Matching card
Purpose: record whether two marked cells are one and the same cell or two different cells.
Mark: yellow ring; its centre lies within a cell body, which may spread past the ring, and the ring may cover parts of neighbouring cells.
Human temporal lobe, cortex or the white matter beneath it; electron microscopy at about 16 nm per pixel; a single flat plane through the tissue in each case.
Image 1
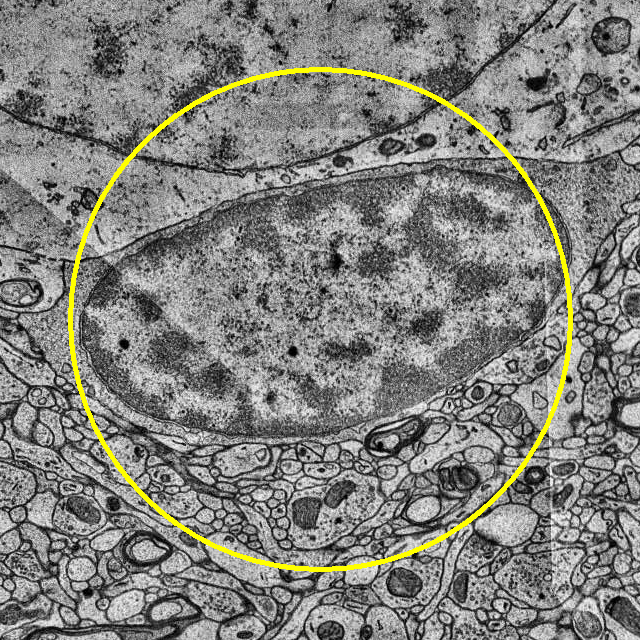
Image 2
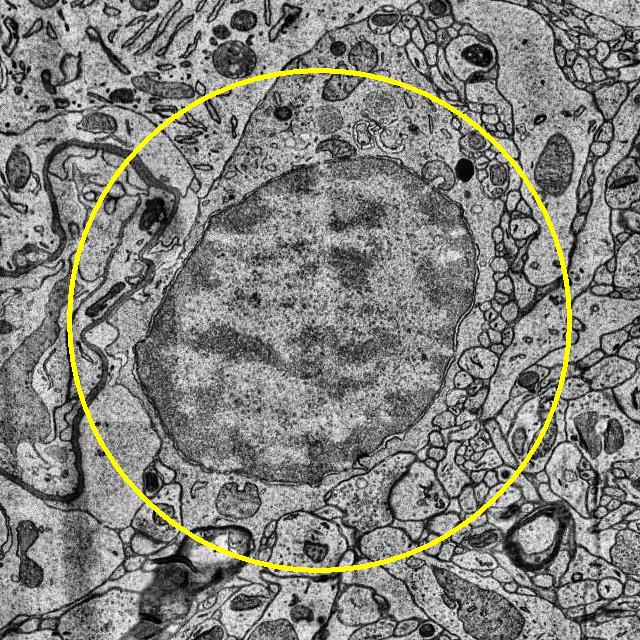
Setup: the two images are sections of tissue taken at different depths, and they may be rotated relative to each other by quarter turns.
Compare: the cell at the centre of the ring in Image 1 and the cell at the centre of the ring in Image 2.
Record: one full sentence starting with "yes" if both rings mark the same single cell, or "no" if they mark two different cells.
No, the two rings were placed on two different cells.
